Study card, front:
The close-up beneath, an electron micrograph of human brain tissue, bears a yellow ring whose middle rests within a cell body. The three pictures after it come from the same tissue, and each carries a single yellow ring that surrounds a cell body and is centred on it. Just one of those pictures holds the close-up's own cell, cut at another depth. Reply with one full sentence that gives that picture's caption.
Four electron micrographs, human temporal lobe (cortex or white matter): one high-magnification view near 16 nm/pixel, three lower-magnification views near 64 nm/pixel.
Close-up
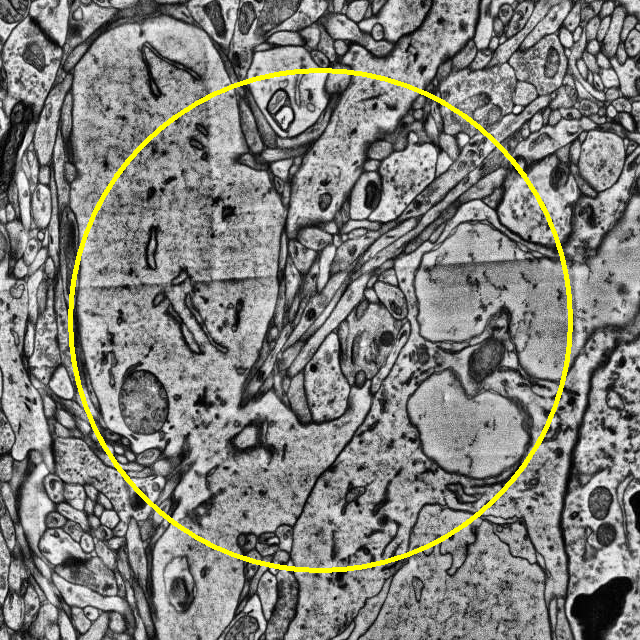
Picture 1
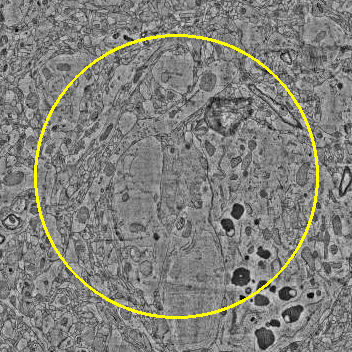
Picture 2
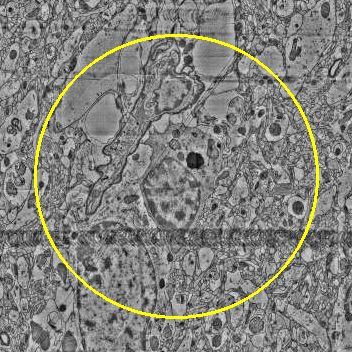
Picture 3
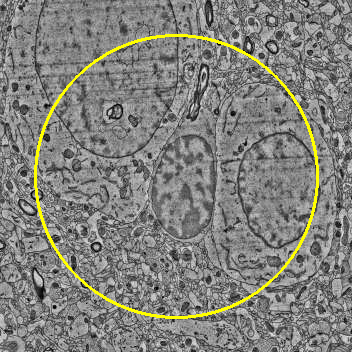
The close-up image matches the cell inside the ring of Picture 1.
